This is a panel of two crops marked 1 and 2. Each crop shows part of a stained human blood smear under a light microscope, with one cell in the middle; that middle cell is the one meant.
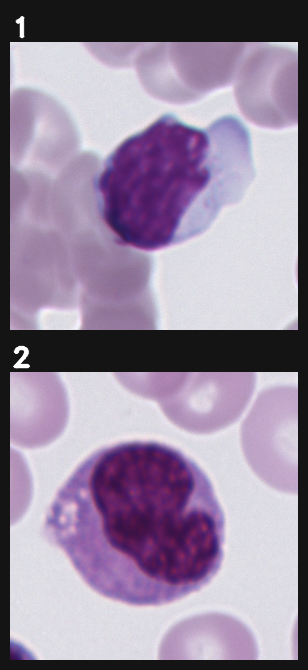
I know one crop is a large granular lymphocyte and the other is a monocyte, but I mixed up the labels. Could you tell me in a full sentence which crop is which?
Crop 1 is designated a large granular lymphocyte, and crop 2 is designated a monocyte.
